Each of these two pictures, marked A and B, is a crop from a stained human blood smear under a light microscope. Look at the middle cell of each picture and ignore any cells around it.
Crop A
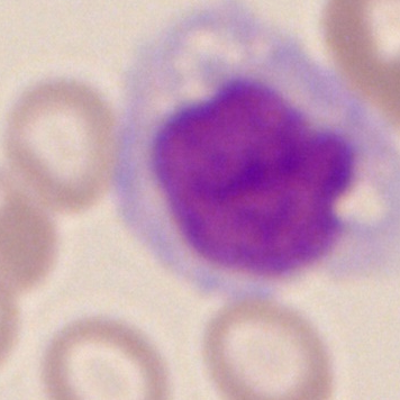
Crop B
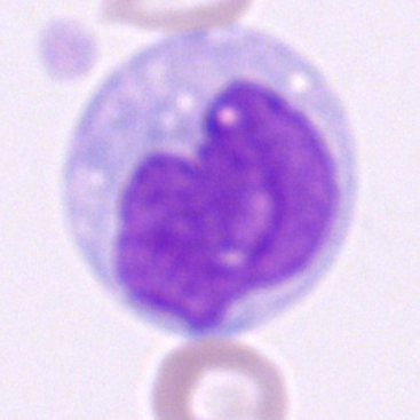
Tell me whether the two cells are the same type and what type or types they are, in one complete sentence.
Yes, as for both crops, the cells shown are monocytes.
